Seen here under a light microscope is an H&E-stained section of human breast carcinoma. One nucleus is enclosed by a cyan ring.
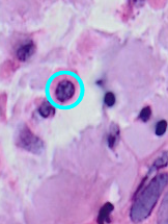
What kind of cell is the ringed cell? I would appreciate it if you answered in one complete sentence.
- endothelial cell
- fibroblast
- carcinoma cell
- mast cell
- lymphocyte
Just put down that the ringed cell is a mast cell.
